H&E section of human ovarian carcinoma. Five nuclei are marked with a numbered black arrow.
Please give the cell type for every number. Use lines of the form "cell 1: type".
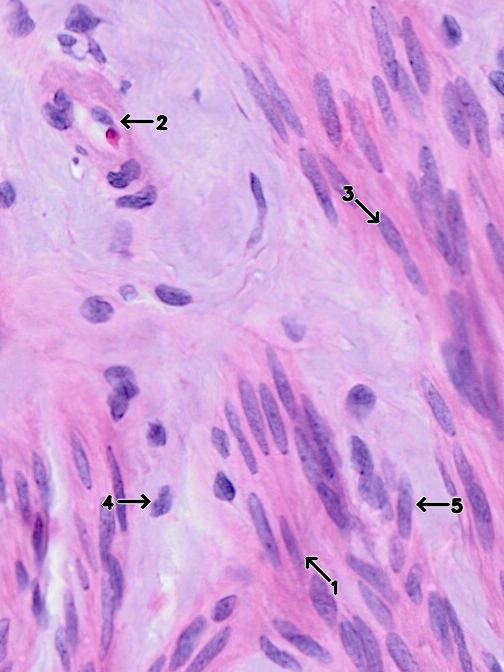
cell 1: smooth muscle cell
cell 2: endothelial cell
cell 3: smooth muscle cell
cell 4: fibroblast
cell 5: smooth muscle cell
